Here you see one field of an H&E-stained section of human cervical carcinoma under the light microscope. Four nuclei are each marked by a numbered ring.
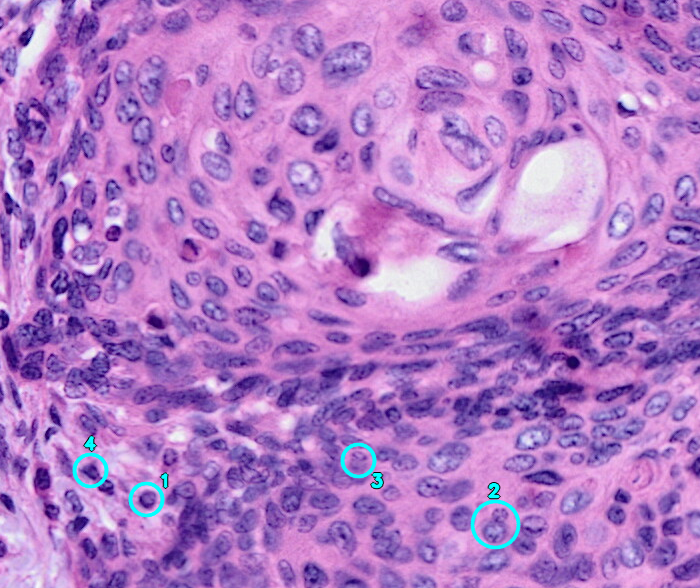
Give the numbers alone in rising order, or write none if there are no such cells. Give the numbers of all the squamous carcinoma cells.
2, 3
